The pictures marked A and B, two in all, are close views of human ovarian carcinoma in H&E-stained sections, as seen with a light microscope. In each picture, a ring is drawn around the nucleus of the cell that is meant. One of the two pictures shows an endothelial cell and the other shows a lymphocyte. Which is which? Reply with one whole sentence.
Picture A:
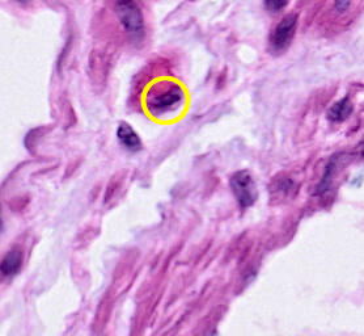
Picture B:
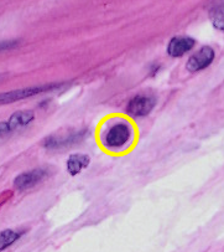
Picture B shows a lymphocyte, while picture A shows an endothelial cell.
